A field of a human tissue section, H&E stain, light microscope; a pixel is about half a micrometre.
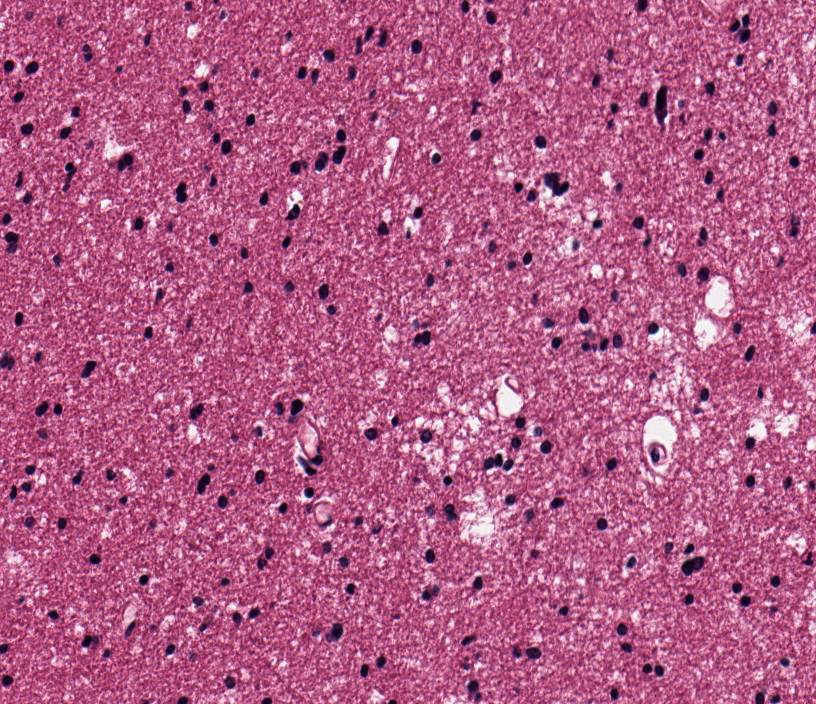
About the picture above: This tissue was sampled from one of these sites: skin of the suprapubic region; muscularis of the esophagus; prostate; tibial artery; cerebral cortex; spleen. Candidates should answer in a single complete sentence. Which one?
It is from the cerebral cortex that this section was cut.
